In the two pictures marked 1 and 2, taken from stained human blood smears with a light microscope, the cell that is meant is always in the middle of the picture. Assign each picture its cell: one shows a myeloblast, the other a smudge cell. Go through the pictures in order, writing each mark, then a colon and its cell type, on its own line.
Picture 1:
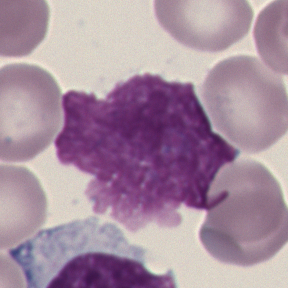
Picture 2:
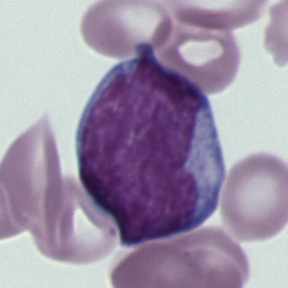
1: smudge cell
2: myeloblast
